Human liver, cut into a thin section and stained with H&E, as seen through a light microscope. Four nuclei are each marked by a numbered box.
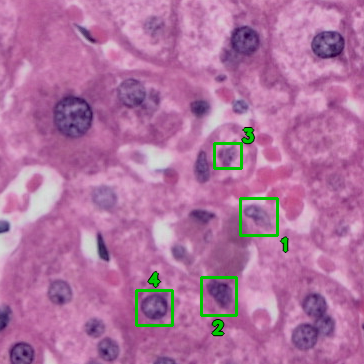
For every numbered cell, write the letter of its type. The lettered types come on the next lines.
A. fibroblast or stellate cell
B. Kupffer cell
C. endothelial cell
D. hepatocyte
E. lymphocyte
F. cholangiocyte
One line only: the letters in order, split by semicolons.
B; A; D; D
